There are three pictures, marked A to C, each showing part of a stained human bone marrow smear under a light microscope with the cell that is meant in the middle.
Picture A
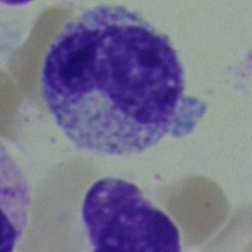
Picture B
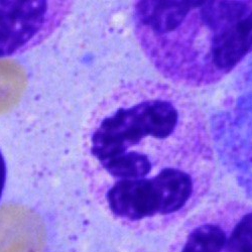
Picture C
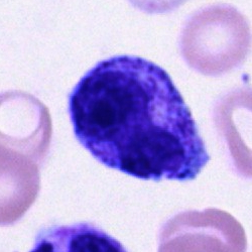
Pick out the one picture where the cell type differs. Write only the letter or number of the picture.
B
